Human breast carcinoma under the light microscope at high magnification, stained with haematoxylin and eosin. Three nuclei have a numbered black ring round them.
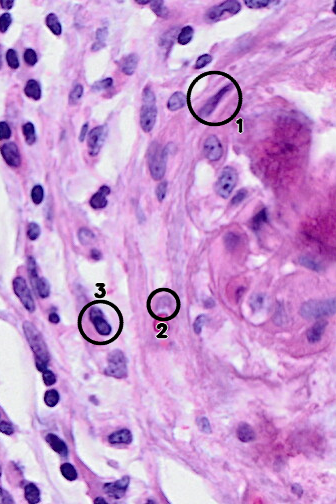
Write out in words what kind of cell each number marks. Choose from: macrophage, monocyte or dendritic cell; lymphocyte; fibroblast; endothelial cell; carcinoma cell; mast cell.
Cell 1 is a fibroblast, cell 2 is an endothelial cell and cell 3 is a lymphocyte.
